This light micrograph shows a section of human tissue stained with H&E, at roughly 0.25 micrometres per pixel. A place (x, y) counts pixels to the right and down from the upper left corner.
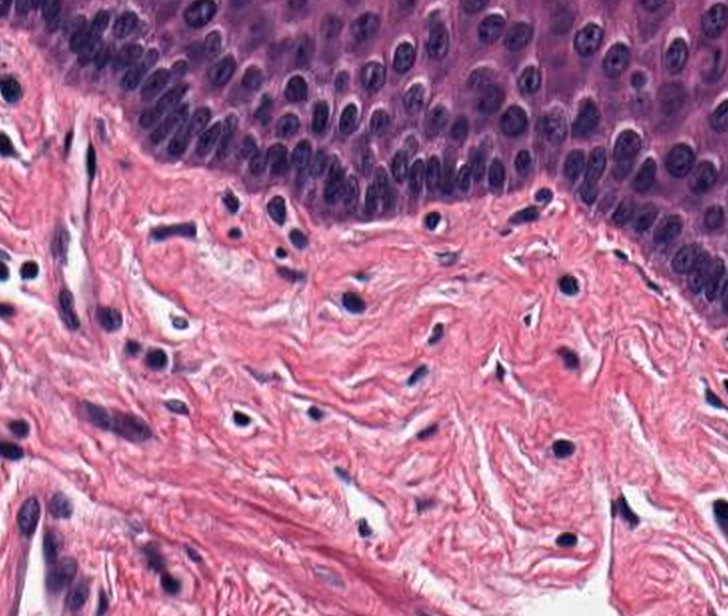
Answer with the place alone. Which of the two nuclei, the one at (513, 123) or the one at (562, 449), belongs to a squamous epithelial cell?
(513, 123)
